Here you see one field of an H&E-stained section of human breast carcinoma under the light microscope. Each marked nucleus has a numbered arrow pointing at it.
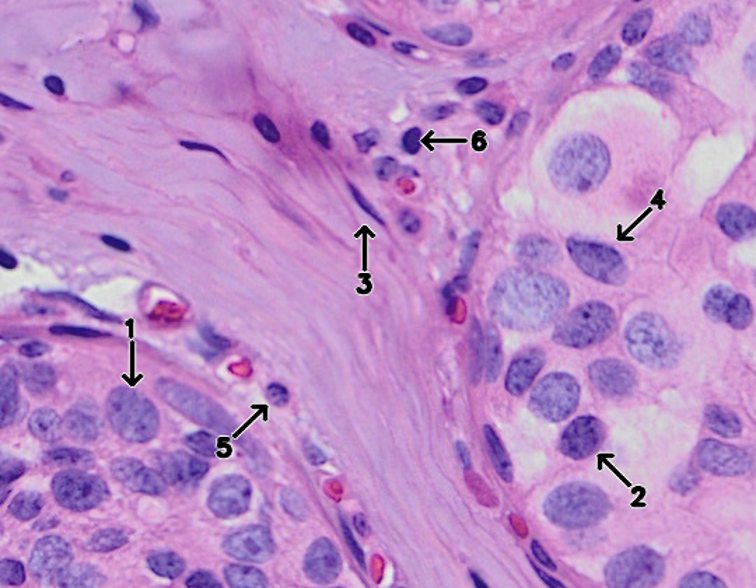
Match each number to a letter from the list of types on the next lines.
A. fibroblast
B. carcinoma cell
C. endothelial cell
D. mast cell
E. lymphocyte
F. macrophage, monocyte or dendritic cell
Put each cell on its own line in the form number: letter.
1: B
2: B
3: A
4: B
5: D
6: E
